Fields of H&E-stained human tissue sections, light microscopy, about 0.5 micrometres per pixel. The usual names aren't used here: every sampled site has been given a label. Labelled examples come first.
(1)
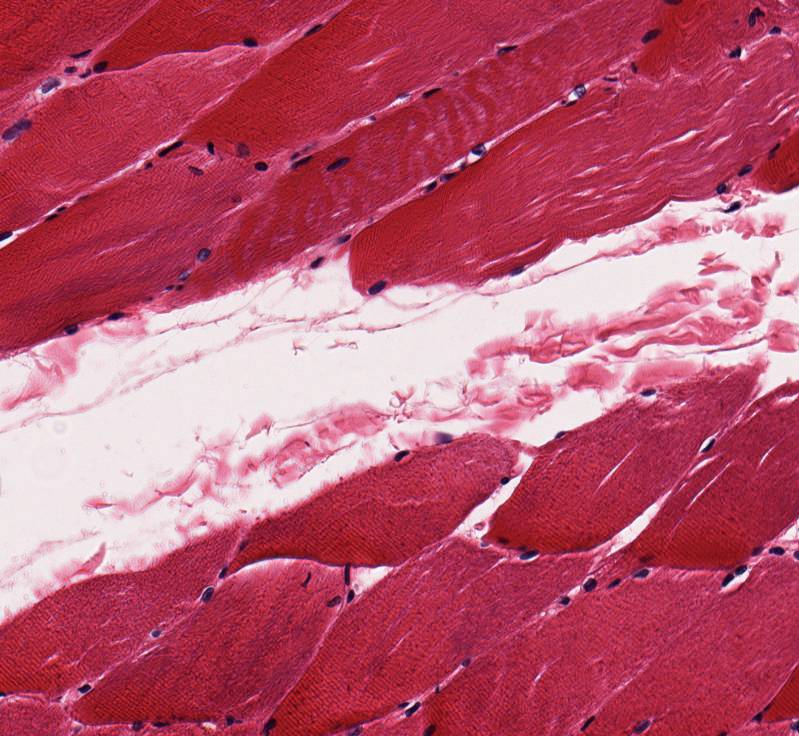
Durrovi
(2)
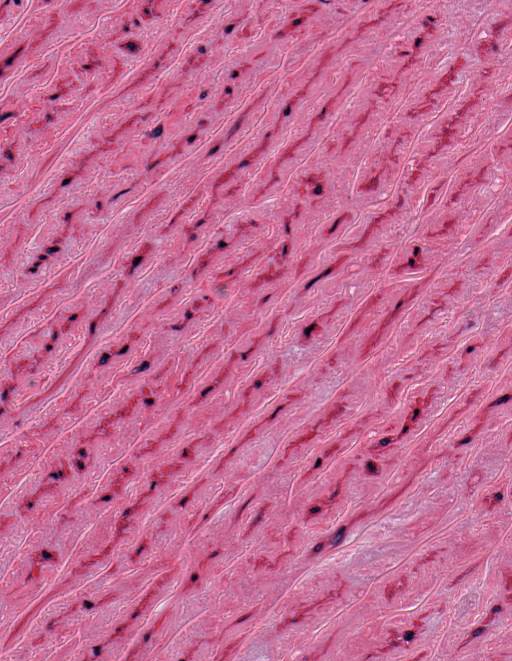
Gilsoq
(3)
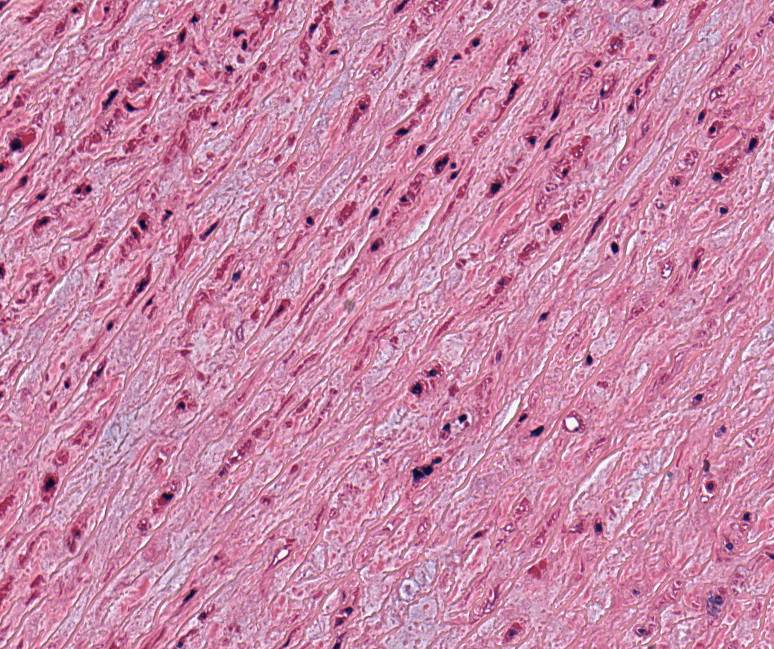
Gilsoq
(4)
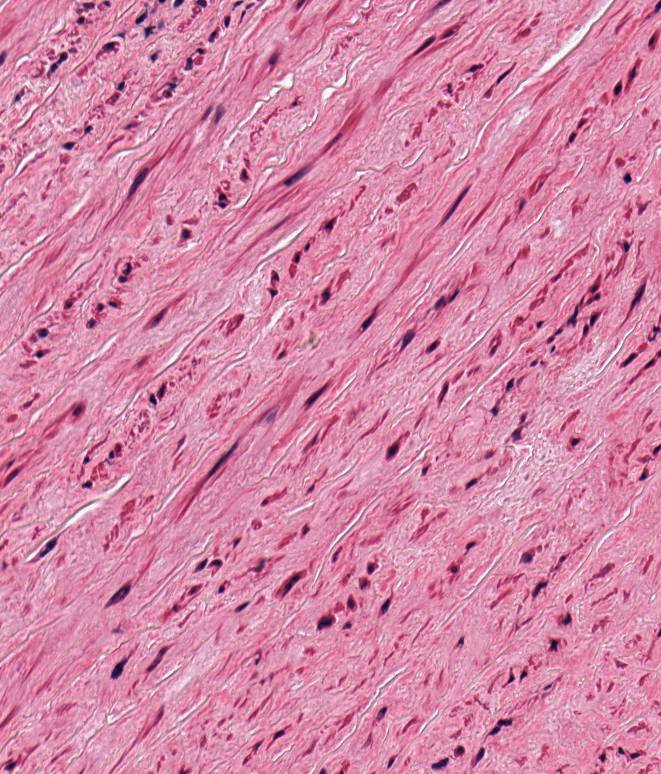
Gilsoq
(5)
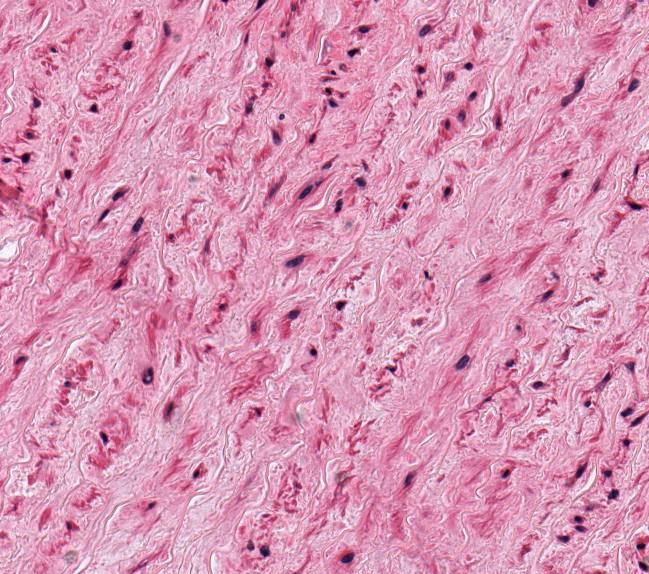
Gilsoq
